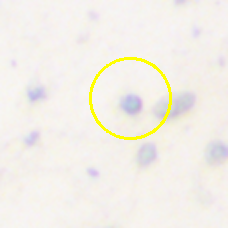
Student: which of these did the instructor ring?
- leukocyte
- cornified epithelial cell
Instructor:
The cell I ringed is a leukocyte.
